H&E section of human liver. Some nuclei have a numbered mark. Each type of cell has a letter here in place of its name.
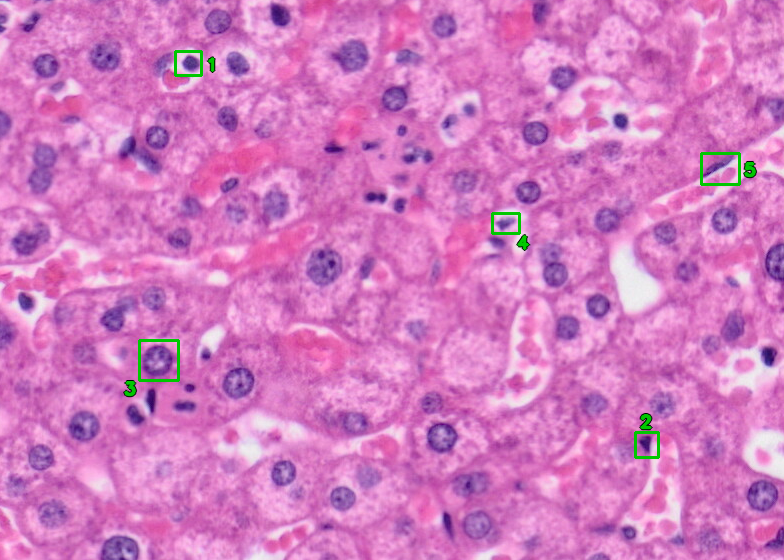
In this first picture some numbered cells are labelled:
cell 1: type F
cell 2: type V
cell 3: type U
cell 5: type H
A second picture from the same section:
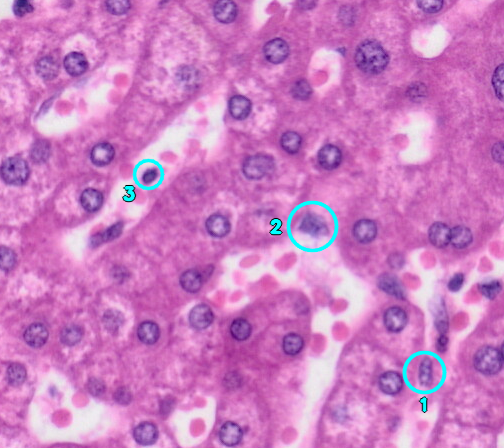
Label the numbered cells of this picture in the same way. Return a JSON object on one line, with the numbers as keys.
{"1": "type V", "2": "type H", "3": "type F"}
